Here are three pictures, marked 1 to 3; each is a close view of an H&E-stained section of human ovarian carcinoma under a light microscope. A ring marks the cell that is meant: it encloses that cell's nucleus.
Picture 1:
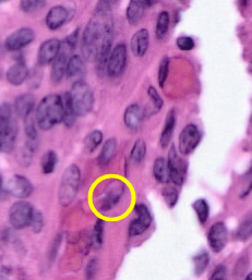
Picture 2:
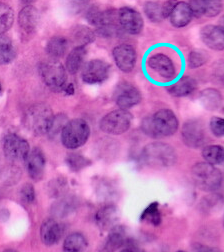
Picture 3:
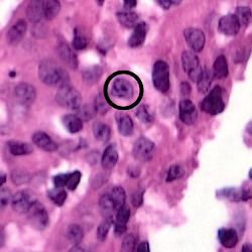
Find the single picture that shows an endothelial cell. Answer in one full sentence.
The cell in picture 1 is the endothelial cell.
